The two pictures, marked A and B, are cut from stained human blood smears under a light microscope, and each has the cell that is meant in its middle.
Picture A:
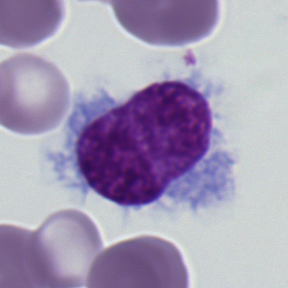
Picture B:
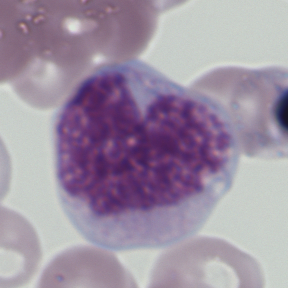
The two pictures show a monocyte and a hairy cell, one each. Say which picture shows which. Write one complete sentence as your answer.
Picture B shows a monocyte, while picture A shows a hairy cell.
